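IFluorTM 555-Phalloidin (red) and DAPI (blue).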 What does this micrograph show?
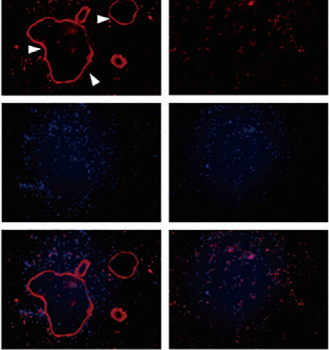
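In the left column, large thin red rings outline big, irregularly shaped cells, some much larger than the surrounding field of small blue nuclei. In the right column, no such rings are seen; the red appears only as small scattered dots and patches among the nuclei.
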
